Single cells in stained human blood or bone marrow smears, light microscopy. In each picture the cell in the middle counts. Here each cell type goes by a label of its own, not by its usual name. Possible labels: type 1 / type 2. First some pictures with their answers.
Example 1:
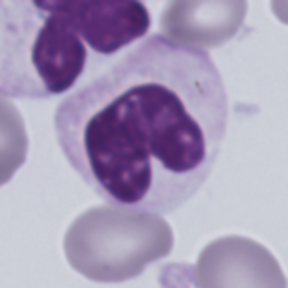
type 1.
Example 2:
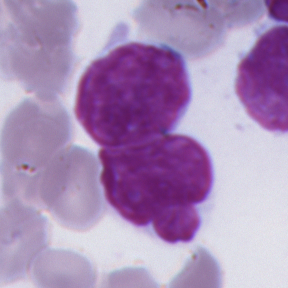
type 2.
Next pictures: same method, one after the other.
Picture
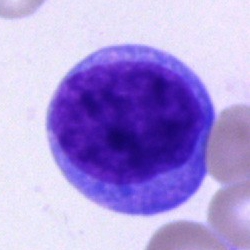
type 2.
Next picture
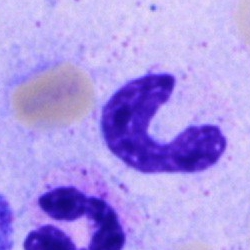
type 1.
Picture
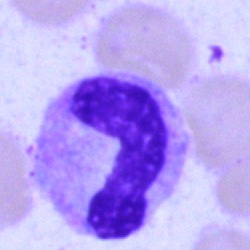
type 1.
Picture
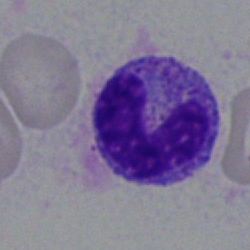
type 1.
